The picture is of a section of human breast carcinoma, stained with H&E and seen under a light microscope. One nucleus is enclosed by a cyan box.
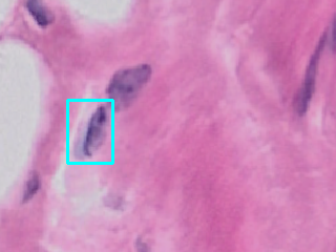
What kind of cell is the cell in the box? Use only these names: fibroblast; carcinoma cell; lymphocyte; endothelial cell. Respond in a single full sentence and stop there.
In cellular terms, the cell in the box is a fibroblast.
